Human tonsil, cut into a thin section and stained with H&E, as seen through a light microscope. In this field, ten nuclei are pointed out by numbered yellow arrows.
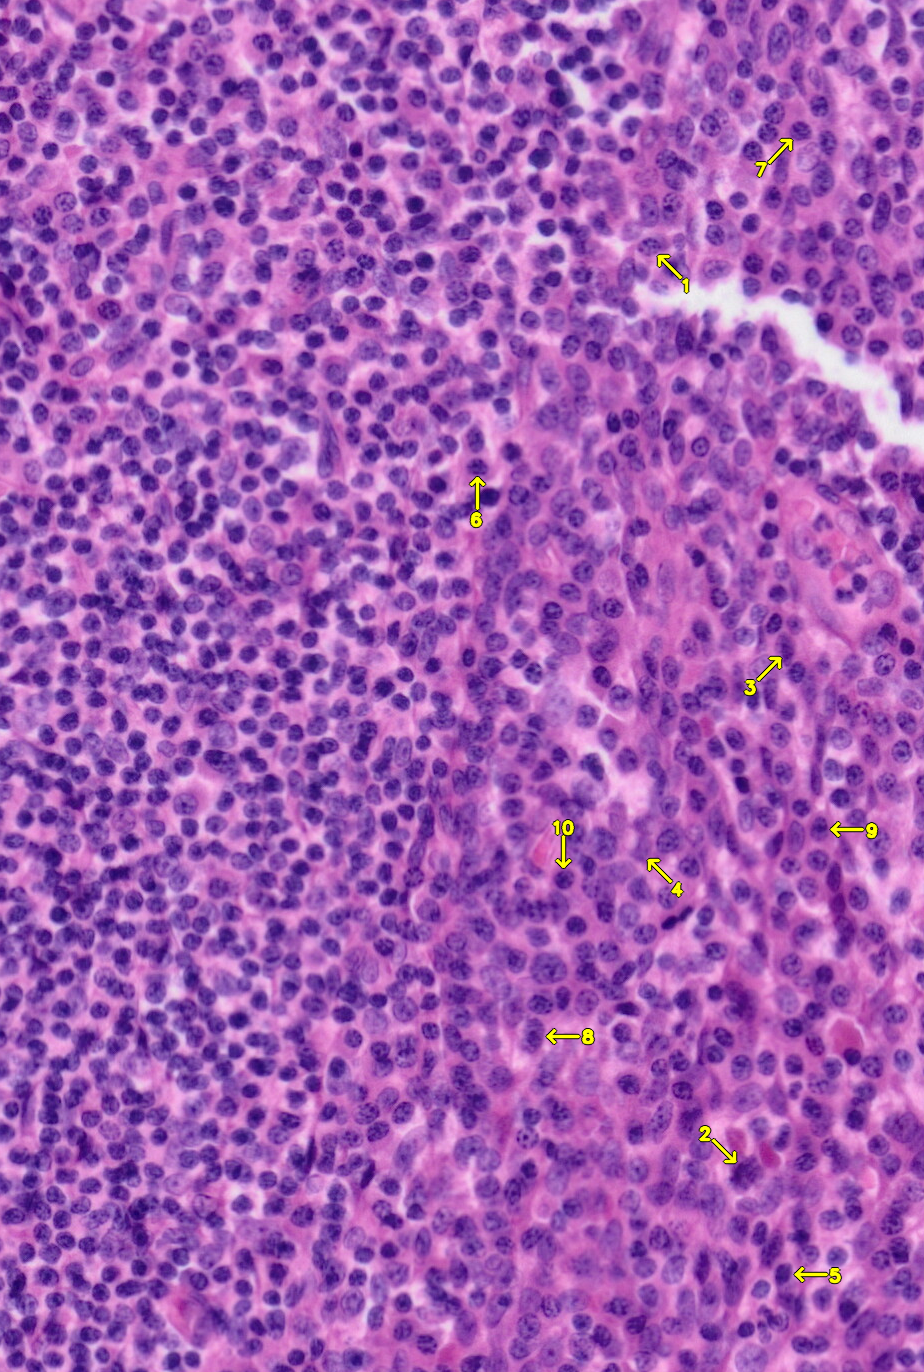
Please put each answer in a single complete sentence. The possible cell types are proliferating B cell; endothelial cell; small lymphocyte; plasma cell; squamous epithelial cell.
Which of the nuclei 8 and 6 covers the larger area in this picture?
Nucleus 8 is larger, with an area about 2 times that of nucleus 6.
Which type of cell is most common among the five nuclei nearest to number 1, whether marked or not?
Squamous epithelial cells account for more than half of the five nuclei nearest to number 1.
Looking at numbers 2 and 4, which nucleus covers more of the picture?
The larger nucleus is 2, at roughly 1.5 times the area of 4.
